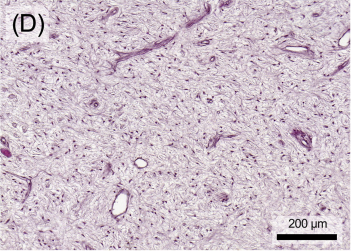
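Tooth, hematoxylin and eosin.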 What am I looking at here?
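The field is filled with loose collagenous connective tissue of pale pink, wavy fibres running in many directions. Among them lie many small, spindle-shaped or elongated purple nuclei, consistent with fibroblasts, spread fairly evenly without layering. Several small blood vessels with thin walls and open round or oval lumens are scattered through the tissue, some cut lengthwise as branching strands. No hard tissue or lining cell layer is present; the appearance is that of the soft central pulp with its vessels and fibre-rich matrix.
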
